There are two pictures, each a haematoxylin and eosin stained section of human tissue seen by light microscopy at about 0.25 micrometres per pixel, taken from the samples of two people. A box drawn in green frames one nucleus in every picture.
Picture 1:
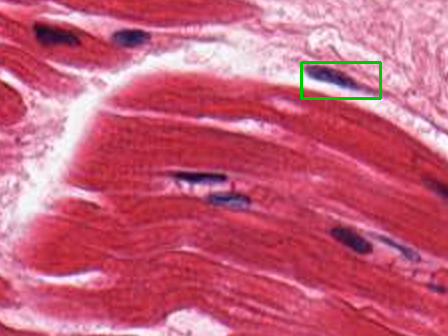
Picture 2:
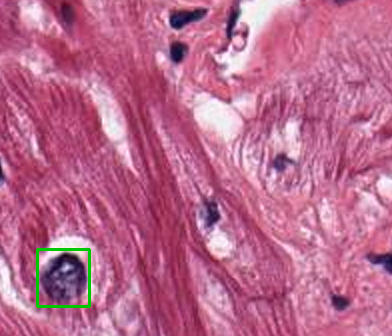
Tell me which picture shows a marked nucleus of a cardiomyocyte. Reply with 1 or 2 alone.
2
